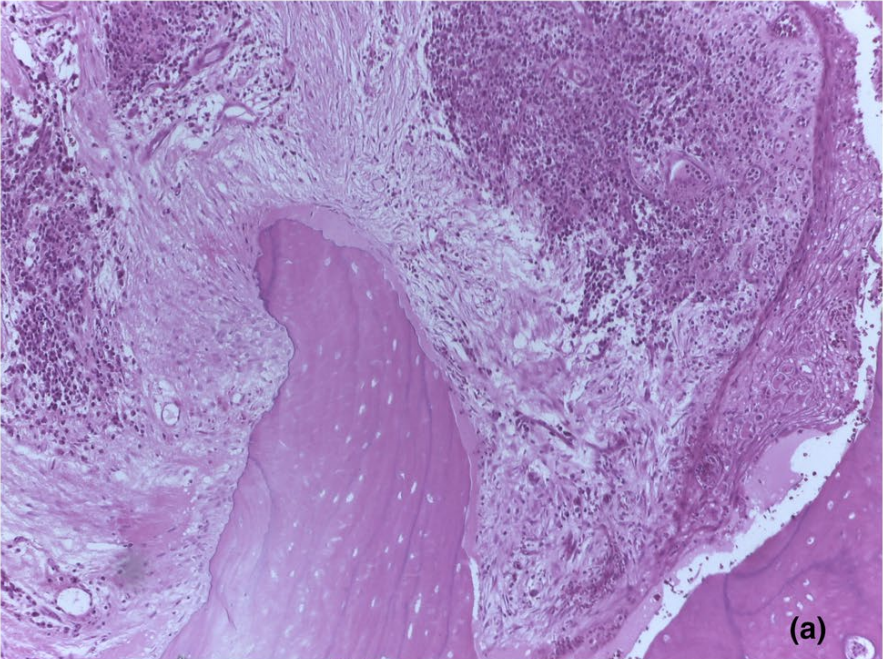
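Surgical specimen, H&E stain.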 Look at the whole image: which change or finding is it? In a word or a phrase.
chronic non‐specific inflammation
